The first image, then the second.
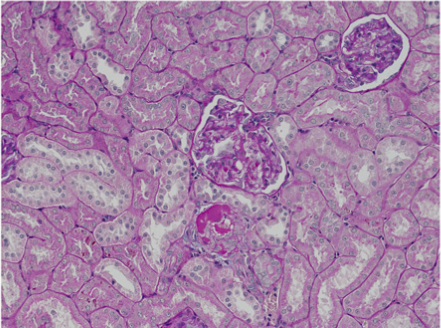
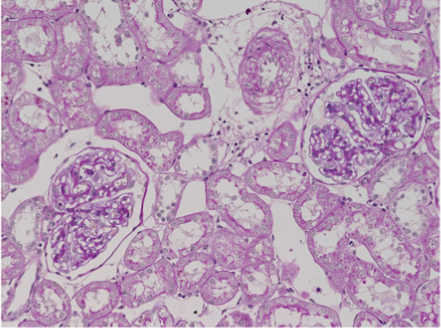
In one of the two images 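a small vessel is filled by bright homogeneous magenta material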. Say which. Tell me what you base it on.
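First image: a small vessel below the central glomerulus is filled with bright homogeneous magenta material. Second image: the small artery has an orderly concentric wall with no magenta deposit.
Hence: the first image.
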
